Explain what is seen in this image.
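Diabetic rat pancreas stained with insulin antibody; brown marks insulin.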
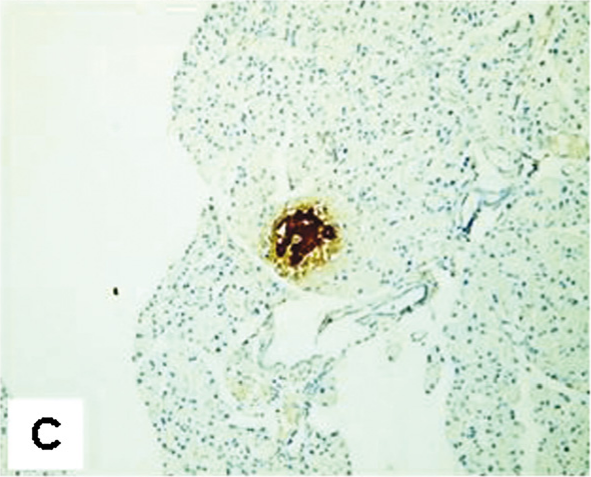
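Pancreatic tissue in which the acinar cells show blue nuclei and pale, unstained cytoplasm. A small, compact, round islet stained dark brown lies within the tissue beside a clear space.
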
